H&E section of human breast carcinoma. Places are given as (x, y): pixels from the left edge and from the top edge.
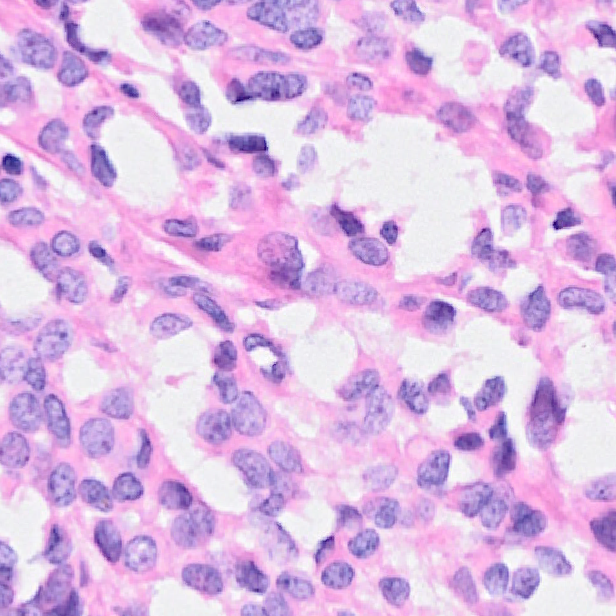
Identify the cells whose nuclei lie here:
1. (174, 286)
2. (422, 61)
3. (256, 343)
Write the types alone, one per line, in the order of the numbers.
endothelial cell
carcinoma cell
endothelial cell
